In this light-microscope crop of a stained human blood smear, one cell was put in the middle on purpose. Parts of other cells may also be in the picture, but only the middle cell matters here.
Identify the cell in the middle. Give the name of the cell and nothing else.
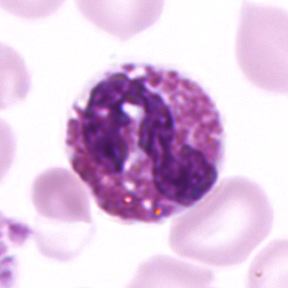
eosinophil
